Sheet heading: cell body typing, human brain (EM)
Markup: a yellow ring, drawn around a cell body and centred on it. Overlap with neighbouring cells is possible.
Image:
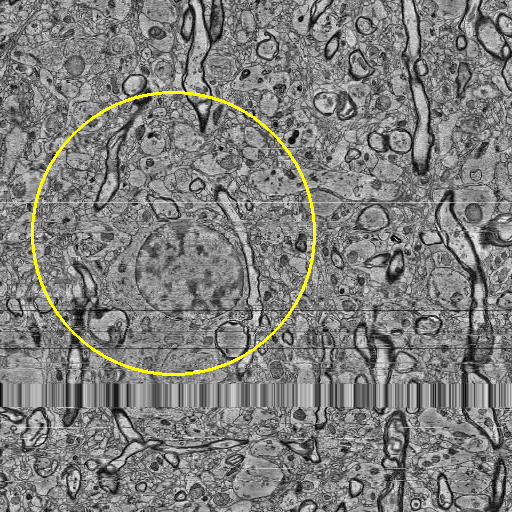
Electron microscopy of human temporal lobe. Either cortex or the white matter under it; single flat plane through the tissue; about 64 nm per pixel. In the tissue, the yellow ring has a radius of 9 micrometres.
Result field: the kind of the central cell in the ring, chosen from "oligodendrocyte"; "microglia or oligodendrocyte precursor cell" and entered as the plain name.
oligodendrocyte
